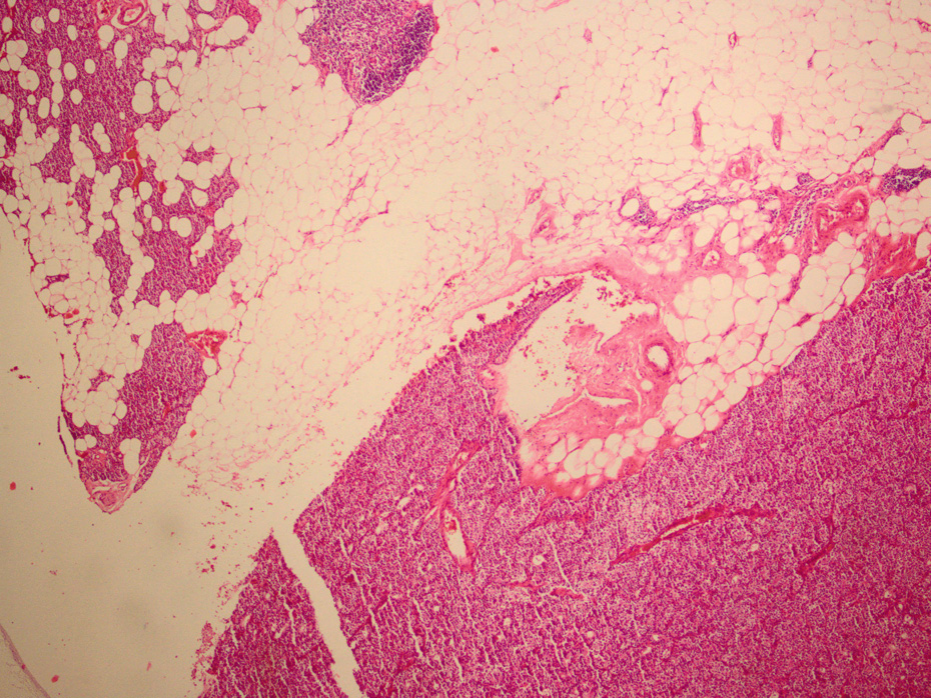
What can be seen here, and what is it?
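This low-power view shows glandular tissue of the parathyroid gland, with small lobules of tightly packed cells with dark nuclei at upper left, broken up by numerous clear, round fat cells. A broad band of fatty tissue with small blood vessels crosses the field diagonally. At lower right a large, solid, pink-purple sheet of densely packed cells without interspersed fat, traversed by thin vascular channels, forms the sharply bounded rim of an adenoma.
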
